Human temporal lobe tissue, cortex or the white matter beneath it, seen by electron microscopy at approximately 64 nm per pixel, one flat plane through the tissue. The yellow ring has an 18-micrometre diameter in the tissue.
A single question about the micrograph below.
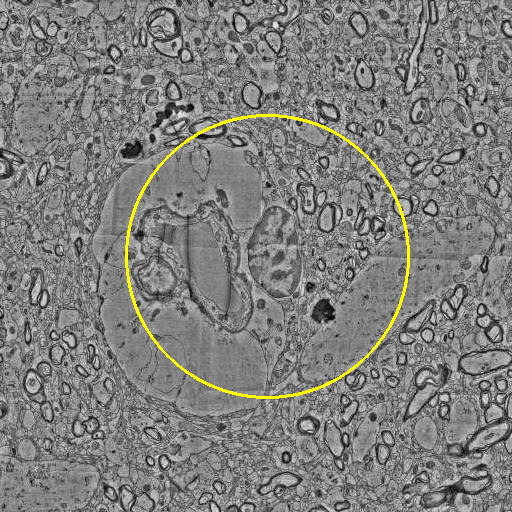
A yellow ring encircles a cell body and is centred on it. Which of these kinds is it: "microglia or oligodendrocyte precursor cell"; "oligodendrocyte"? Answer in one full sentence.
The cell body at the centre of the yellow ring belongs to a microglial cell or oligodendrocyte precursor cell.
